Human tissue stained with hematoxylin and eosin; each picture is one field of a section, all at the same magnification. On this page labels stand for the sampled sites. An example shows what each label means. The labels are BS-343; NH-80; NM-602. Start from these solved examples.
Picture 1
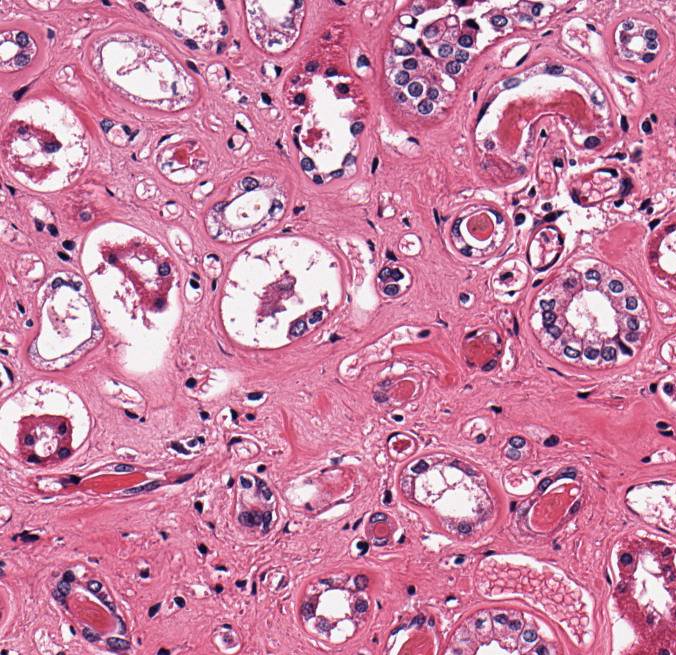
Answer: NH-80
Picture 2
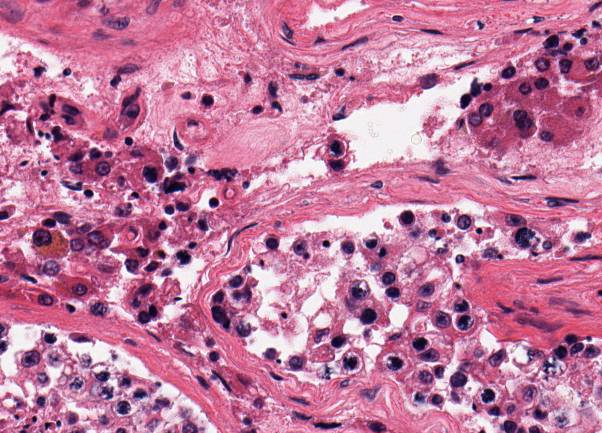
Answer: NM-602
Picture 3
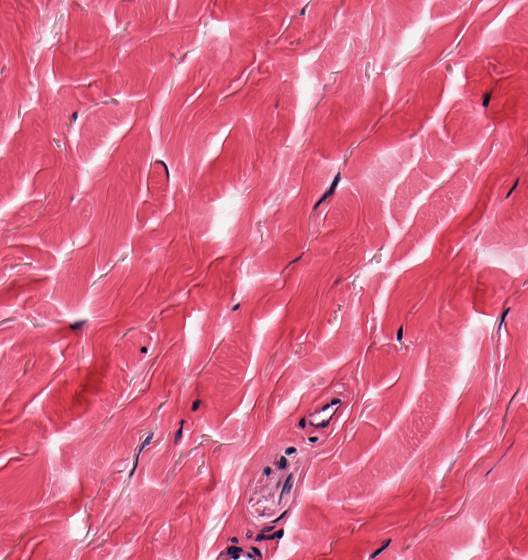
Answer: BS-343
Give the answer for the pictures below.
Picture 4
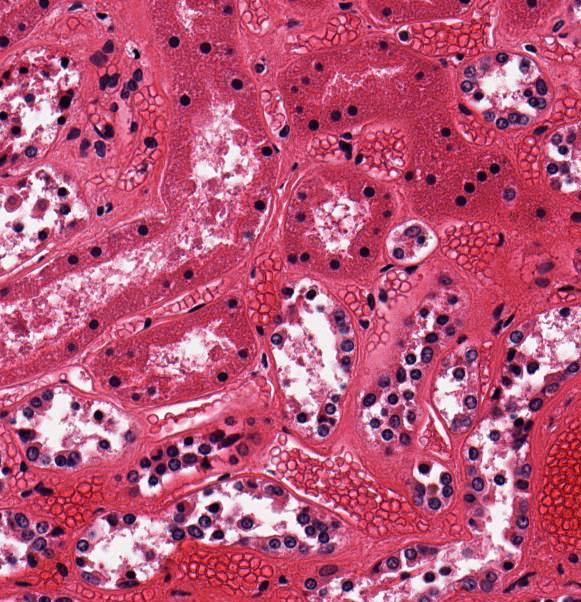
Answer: NH-80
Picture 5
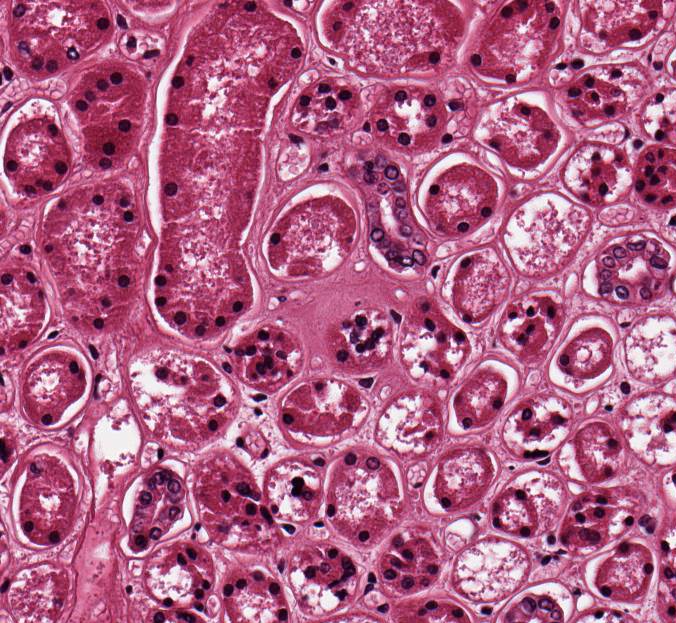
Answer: NH-80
